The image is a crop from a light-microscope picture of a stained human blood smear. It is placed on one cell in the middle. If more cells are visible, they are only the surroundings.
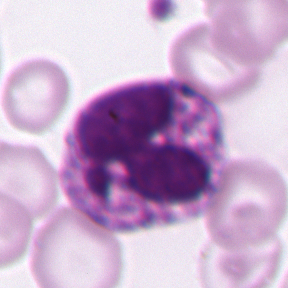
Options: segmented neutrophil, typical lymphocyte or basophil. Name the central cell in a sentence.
The cell found in the middle of this crop is a basophil.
